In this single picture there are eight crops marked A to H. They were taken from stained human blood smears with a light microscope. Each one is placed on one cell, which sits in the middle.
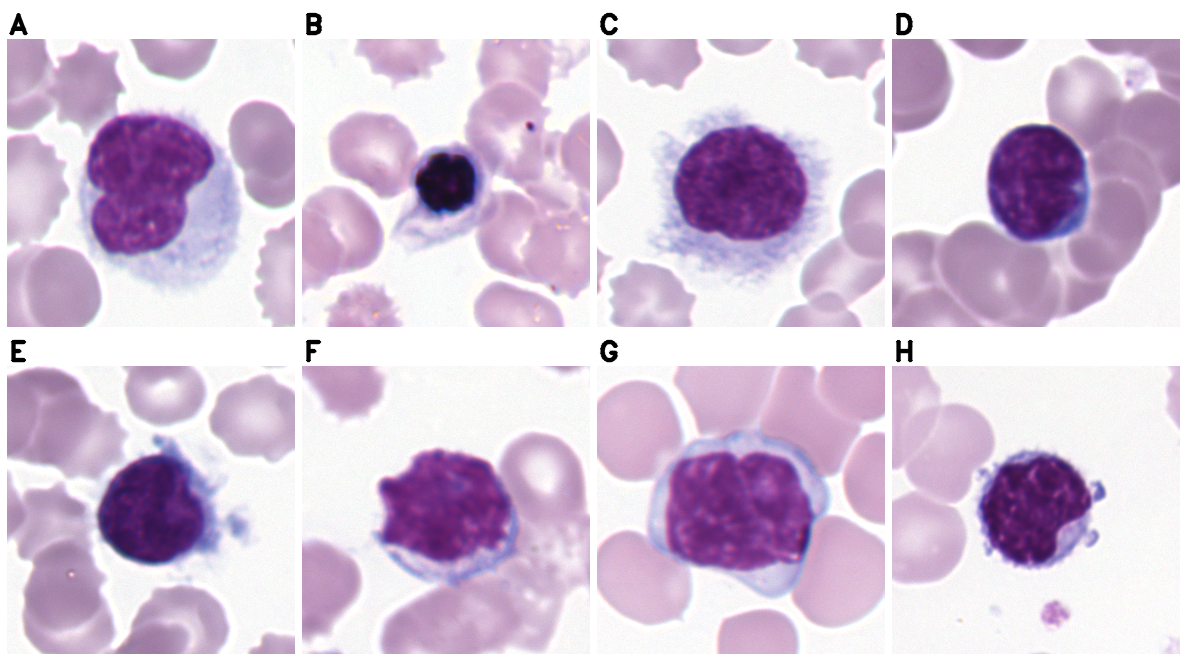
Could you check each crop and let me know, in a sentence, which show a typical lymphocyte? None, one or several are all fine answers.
Crops D, F, G and H display typical lymphocytes in the centre of the field.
